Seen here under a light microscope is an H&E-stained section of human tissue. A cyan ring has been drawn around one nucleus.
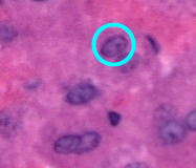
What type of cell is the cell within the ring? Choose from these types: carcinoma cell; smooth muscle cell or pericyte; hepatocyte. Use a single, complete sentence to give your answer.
The correct response here is that the cell within the ring is a hepatocyte.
